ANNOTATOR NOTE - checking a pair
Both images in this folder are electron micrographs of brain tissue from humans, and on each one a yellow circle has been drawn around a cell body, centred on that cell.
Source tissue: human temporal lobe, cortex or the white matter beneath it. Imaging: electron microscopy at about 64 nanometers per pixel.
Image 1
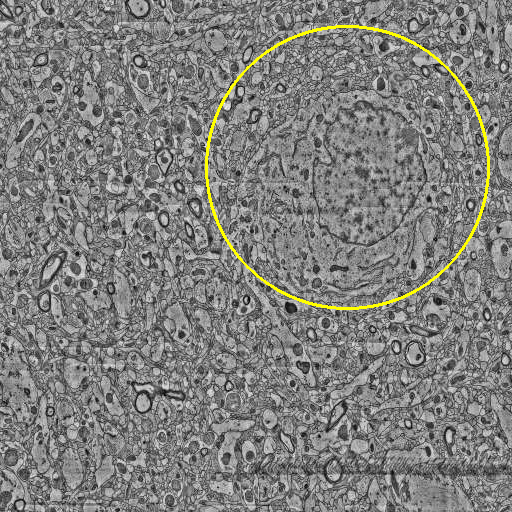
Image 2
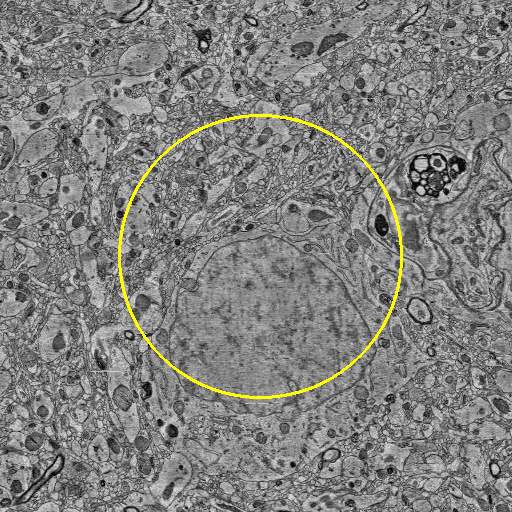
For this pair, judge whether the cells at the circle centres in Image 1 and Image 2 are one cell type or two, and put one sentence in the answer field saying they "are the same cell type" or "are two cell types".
For this pair, the cells at the circle centres in Images 1 and 2 are the same cell type.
